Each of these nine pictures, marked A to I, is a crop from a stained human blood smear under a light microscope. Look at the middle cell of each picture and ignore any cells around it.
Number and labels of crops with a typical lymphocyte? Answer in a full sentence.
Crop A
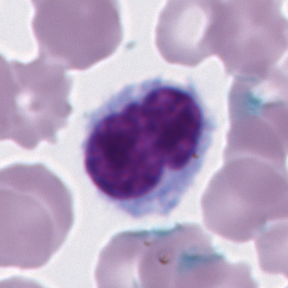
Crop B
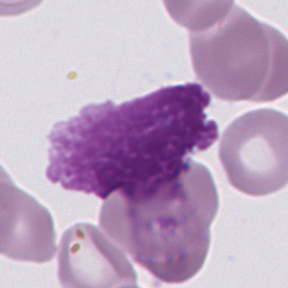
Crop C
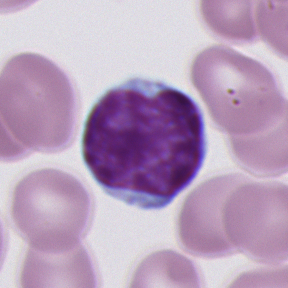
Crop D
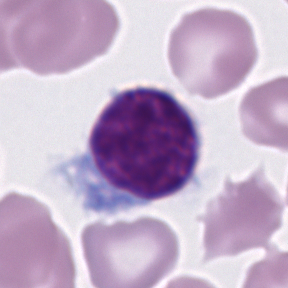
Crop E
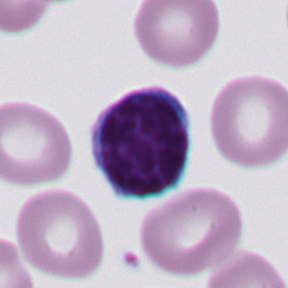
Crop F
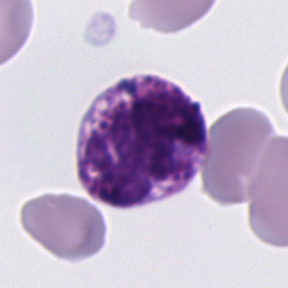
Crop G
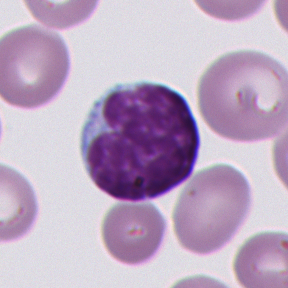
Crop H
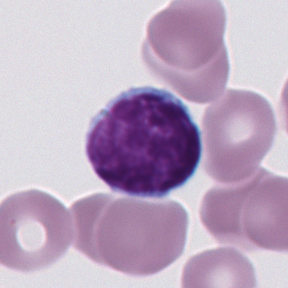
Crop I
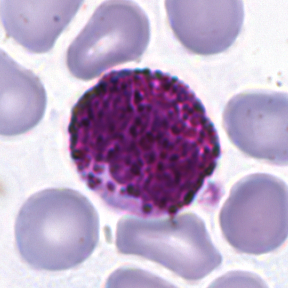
Crops C, E, G and H show typical lymphocytes, making four in all.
